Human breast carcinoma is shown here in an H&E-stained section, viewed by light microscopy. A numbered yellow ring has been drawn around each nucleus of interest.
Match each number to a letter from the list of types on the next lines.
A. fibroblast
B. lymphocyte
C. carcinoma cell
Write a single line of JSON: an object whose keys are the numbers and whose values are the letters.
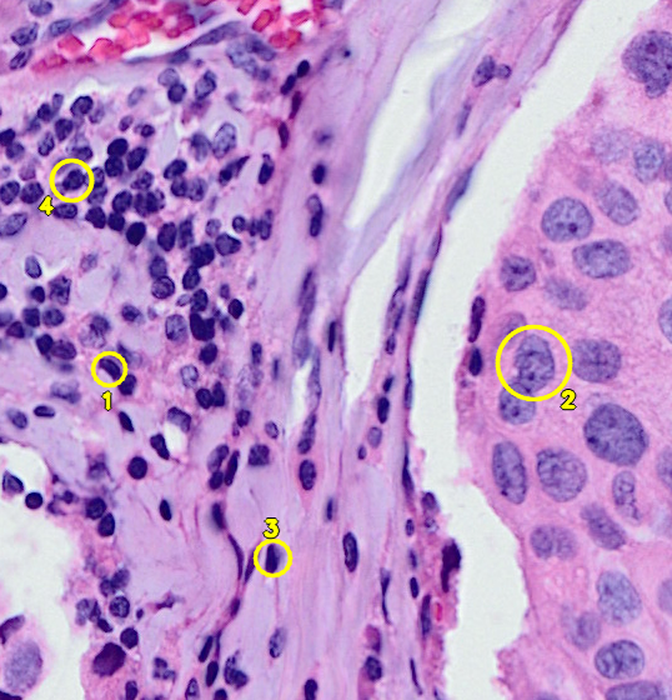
{"1": "B", "2": "C", "3": "B", "4": "B"}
